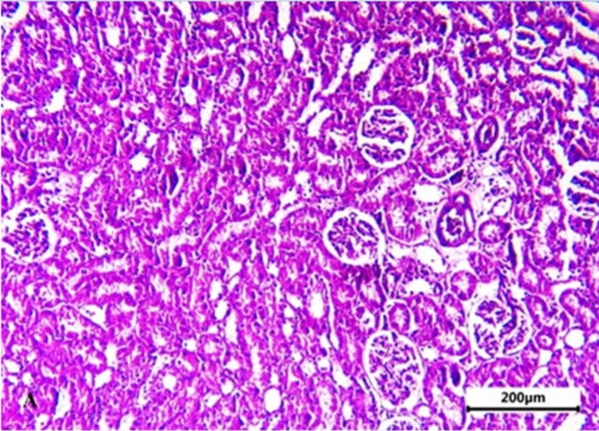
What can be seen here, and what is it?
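This is kidney cortex at low power with a compact, orderly architecture. Numerous renal tubules, cut across and along their length, are tightly packed and lined by pink-staining epithelium with small dark nuclei and narrow lumens. Several rounded glomeruli lie among them, each a cellular, purple-dotted capillary tuft surrounded by a thin clear rim of Bowman's space inside its capsule.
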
